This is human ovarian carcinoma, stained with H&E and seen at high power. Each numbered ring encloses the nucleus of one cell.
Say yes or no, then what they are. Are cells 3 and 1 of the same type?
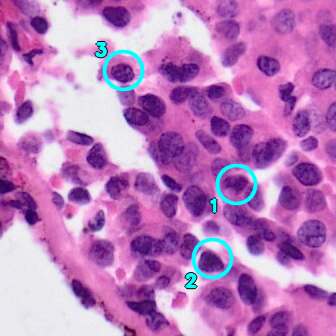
No, cell 3 is a macrophage or monocyte, but cell 1 is a carcinoma cell.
